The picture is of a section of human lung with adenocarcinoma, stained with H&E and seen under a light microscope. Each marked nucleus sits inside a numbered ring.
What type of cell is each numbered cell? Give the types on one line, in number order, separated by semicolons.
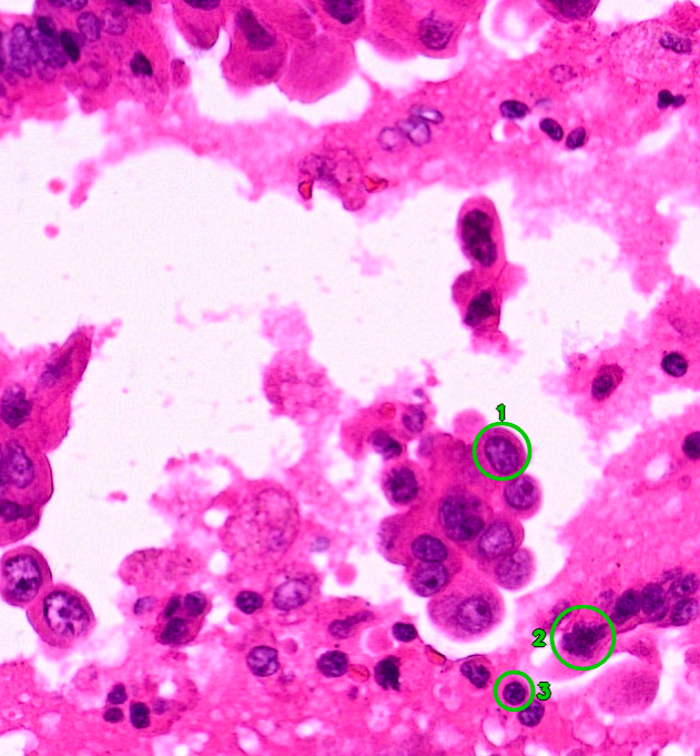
carcinoma cell; carcinoma cell; lymphocyte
